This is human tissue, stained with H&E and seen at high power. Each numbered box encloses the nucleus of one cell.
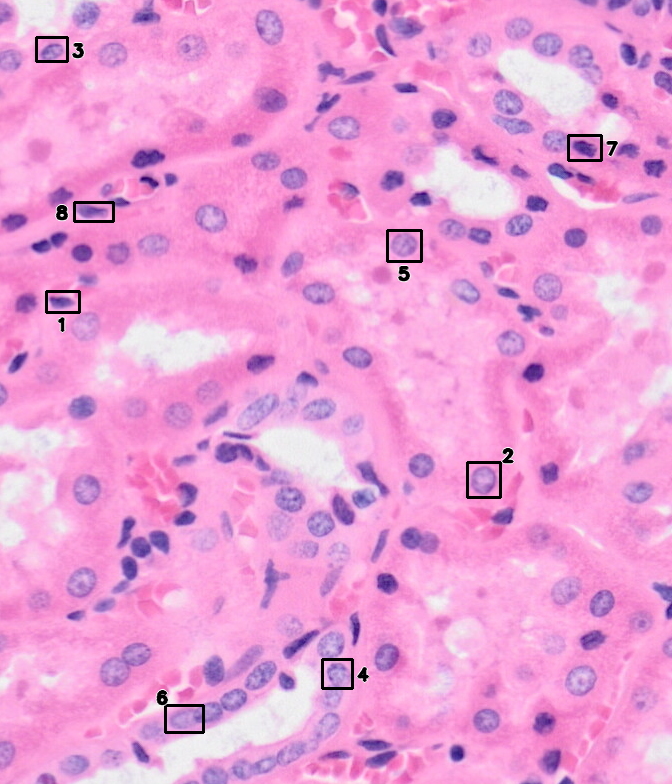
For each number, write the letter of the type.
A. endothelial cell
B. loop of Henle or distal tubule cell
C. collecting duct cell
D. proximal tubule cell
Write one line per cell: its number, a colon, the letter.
1: A
2: D
3: B
4: C
5: D
6: C
7: B
8: A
